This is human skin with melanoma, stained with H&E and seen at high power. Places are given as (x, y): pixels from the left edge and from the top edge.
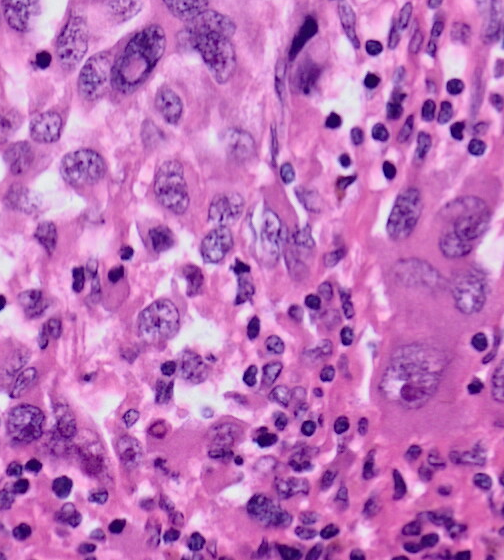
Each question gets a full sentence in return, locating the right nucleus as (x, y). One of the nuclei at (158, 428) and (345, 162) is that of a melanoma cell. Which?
The nucleus of a melanoma cell lies at (158, 428), not at the other position.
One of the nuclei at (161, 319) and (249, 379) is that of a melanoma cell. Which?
As for which of the two, the nucleus at (161, 319) belongs to a melanoma cell.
